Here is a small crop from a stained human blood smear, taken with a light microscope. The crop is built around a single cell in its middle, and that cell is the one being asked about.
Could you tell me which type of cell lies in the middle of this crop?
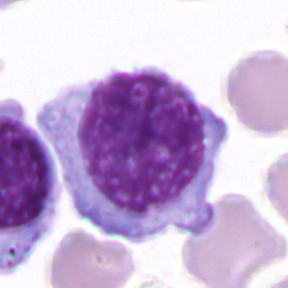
plasma cell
